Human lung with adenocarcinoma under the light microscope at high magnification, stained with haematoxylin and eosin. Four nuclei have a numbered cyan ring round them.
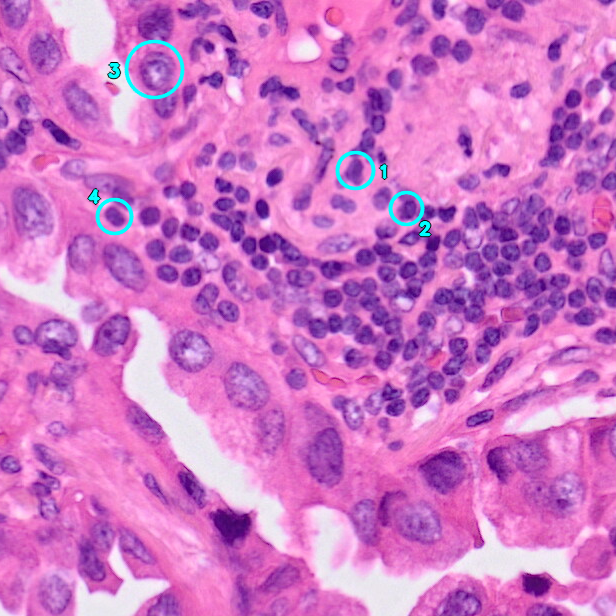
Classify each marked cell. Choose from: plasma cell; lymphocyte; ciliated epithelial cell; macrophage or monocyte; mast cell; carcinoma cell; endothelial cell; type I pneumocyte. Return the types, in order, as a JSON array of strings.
["lymphocyte", "lymphocyte", "carcinoma cell", "lymphocyte"]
